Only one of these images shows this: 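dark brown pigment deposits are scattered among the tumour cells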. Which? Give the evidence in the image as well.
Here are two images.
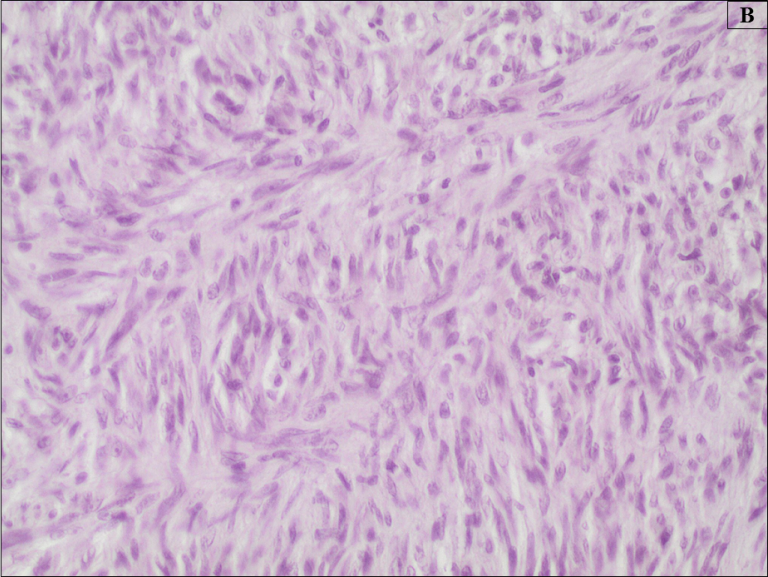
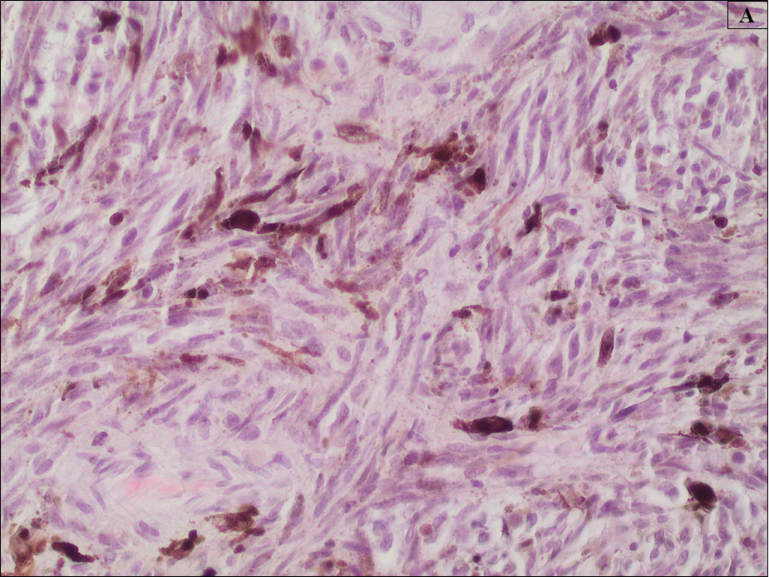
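First image: only pink cytoplasm and purple nuclei, no brown or black deposits anywhere. Second image: many dark brown to black clumps and granules lie among the spindle cells.
The second image.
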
